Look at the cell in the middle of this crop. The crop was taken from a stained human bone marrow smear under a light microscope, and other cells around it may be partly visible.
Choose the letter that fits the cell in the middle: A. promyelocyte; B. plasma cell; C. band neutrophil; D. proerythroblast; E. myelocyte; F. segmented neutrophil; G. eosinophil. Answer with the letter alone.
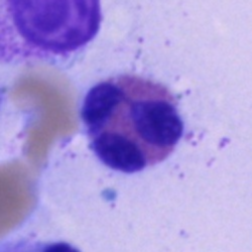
G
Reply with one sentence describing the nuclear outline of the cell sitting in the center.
The nucleus here is split into two or more lobes, not one.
